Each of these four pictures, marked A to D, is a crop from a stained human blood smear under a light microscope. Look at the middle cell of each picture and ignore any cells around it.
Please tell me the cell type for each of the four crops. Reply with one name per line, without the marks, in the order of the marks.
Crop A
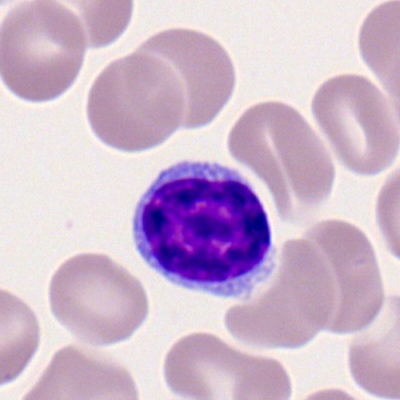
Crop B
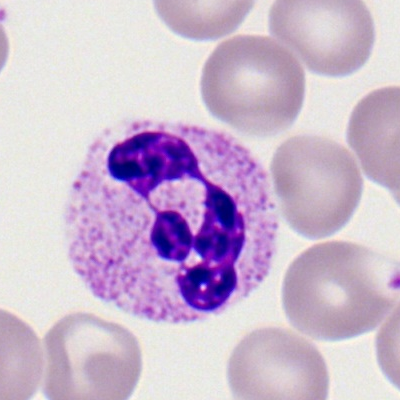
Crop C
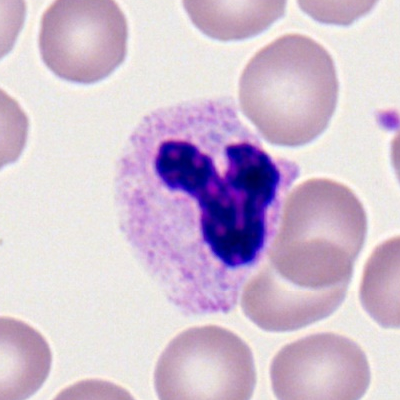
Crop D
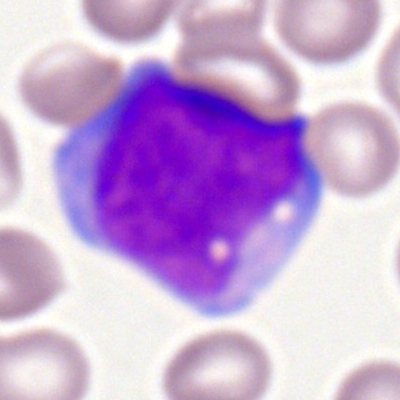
lymphocyte
segmented neutrophil
segmented neutrophil
myeloblast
